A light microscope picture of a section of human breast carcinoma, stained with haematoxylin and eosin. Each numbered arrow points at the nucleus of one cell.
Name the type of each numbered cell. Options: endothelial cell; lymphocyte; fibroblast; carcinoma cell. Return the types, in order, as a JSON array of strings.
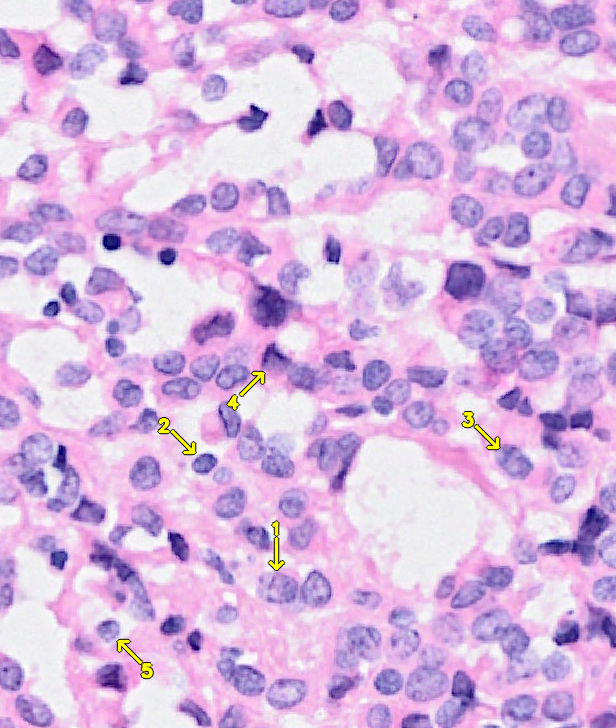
["carcinoma cell", "lymphocyte", "carcinoma cell", "carcinoma cell", "lymphocyte"]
